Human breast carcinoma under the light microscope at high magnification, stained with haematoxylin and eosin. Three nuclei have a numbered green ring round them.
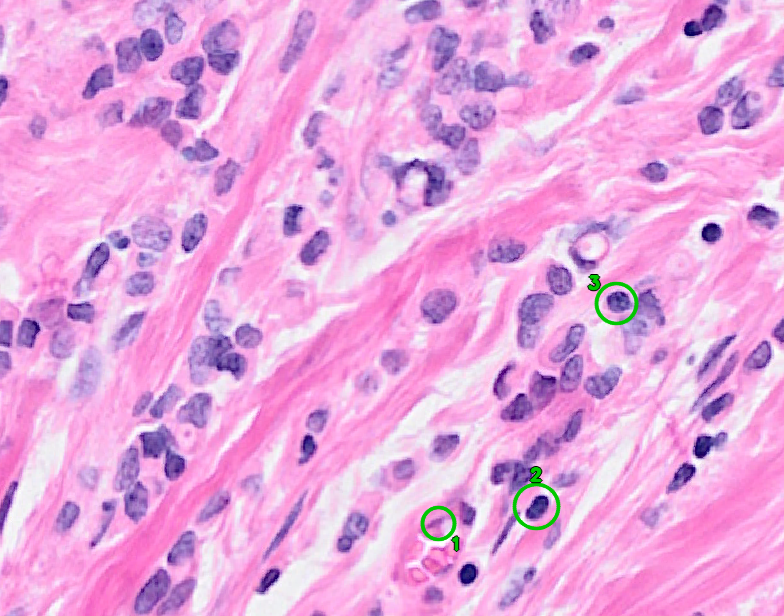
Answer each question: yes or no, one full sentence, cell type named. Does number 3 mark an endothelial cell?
No, it is not an endothelial cell that bears number 3 but a lymphocyte.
